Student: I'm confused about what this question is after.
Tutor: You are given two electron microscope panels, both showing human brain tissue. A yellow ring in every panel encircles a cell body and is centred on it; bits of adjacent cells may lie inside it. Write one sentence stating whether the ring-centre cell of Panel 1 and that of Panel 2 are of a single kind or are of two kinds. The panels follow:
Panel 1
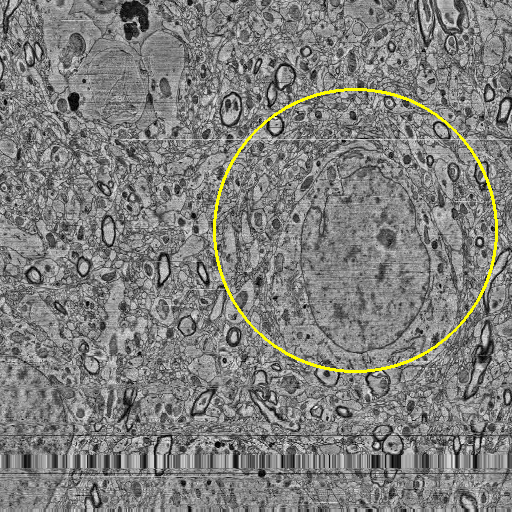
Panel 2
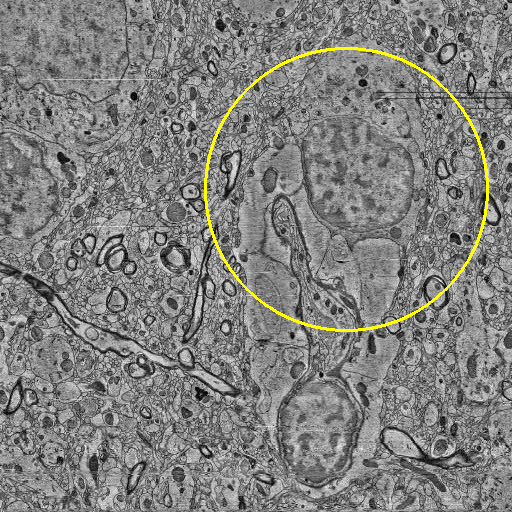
Here, the Panel 1 ring-centre cell and the Panel 2 ring-centre cell are of two kinds.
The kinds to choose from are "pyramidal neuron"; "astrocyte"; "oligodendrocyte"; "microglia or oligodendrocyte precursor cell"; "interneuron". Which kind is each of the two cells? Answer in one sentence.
Of the two, the first cell is a pyramidal neuron and the second cell is an oligodendrocyte.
